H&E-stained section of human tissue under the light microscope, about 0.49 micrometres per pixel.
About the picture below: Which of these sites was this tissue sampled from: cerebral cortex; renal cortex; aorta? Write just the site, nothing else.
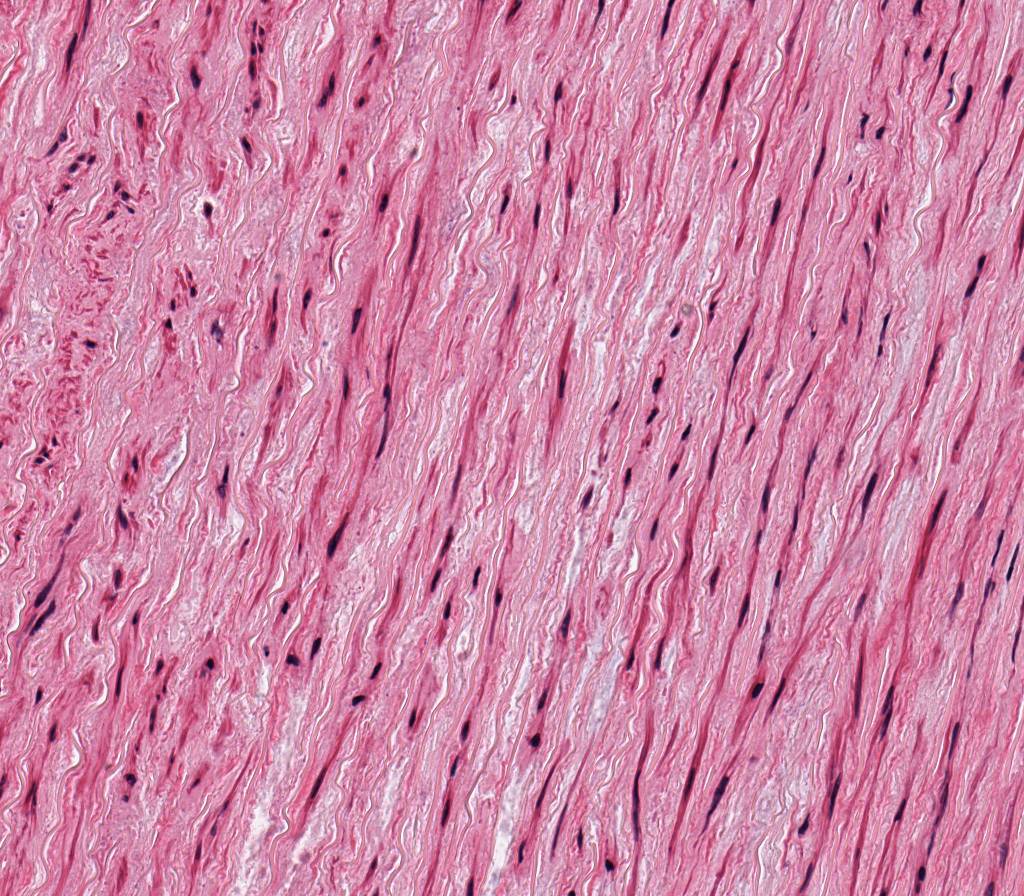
aorta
